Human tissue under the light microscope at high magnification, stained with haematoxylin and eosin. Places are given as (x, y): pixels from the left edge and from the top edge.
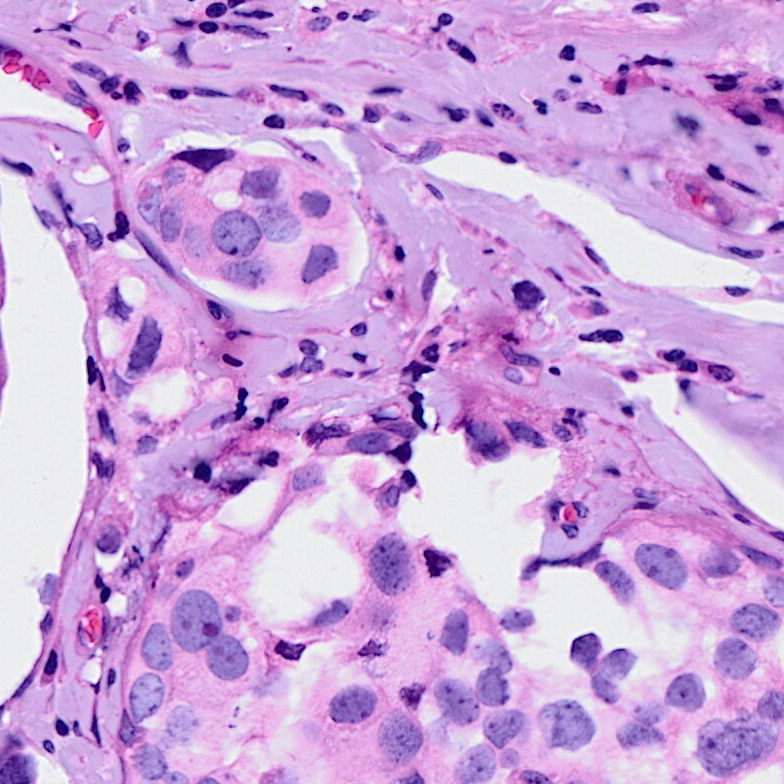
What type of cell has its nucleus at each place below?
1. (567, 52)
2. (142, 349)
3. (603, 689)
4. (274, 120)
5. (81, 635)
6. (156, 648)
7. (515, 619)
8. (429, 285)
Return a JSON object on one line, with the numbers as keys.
{"1": "lymphocyte", "2": "carcinoma cell", "3": "carcinoma cell", "4": "lymphocyte", "5": "endothelial cell", "6": "carcinoma cell", "7": "carcinoma cell", "8": "fibroblast"}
